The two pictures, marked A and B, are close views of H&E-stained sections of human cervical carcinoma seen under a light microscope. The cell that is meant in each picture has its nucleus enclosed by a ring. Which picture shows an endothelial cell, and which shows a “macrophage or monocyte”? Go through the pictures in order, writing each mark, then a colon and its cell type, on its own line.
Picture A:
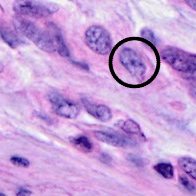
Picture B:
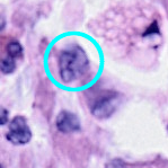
A: endothelial cell
B: macrophage or monocyte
